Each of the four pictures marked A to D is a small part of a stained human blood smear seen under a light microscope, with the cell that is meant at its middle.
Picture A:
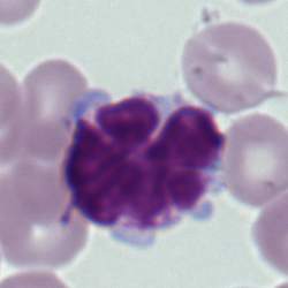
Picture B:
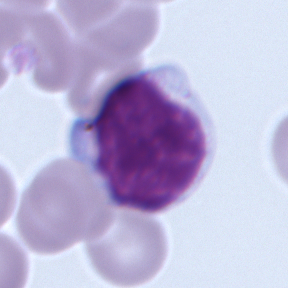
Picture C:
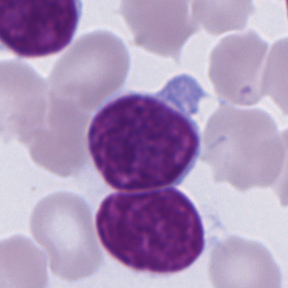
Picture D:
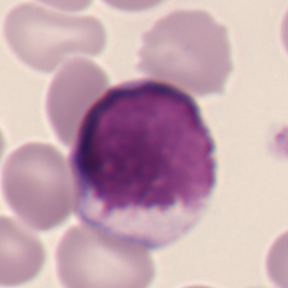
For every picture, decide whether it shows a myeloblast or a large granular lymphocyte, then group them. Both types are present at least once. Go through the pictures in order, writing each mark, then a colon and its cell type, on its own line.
A: large granular lymphocyte
B: large granular lymphocyte
C: myeloblast
D: large granular lymphocyte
